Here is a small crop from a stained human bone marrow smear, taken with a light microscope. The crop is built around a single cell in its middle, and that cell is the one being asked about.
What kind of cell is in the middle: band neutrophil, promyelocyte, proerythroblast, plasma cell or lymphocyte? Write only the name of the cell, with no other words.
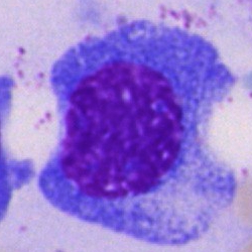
plasma cell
